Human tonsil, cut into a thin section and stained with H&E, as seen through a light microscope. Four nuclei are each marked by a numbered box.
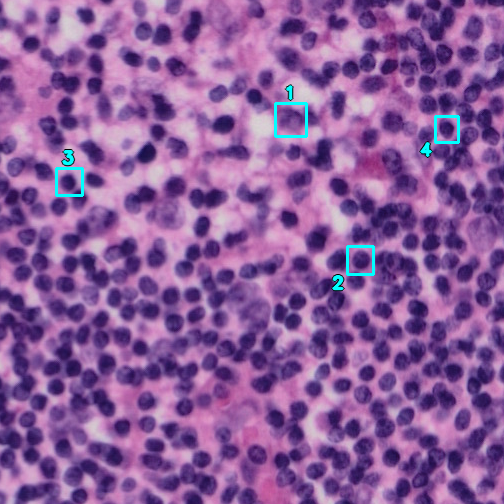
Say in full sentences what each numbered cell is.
Cell 1 is a proliferating B cell, cell 2 is a small lymphocyte, cell 3 is a small lymphocyte and cell 4 is a small lymphocyte.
